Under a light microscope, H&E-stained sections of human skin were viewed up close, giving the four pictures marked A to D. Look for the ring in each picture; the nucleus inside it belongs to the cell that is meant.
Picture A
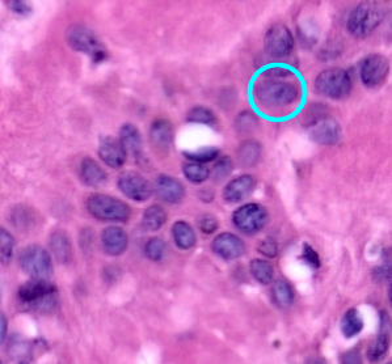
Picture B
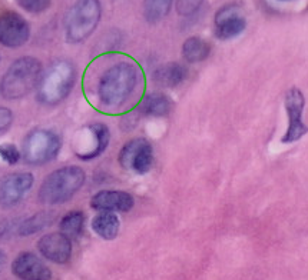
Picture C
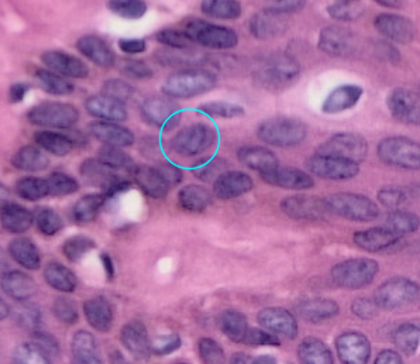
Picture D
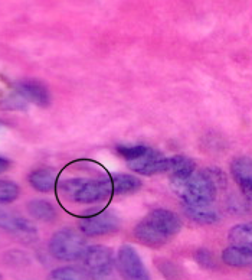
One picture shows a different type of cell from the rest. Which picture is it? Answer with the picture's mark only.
B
